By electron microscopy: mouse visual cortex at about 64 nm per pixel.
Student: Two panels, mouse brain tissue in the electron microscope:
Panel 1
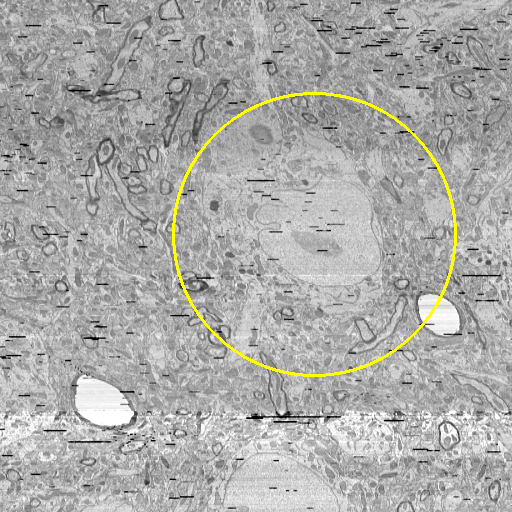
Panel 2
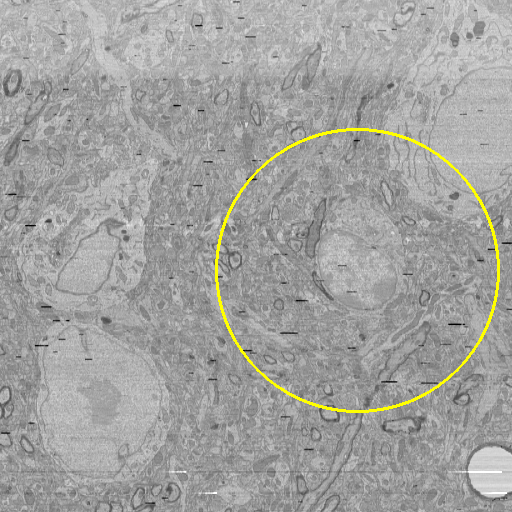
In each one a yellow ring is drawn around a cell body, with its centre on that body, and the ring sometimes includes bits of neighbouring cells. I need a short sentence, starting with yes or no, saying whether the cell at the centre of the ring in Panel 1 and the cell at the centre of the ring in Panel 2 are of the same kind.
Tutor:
No, they are two kinds of cell.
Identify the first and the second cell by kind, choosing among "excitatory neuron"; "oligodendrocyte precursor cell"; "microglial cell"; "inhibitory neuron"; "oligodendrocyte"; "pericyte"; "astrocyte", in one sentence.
The one in the first picture is an excitatory neuron, while the one in the second is an oligodendrocyte.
